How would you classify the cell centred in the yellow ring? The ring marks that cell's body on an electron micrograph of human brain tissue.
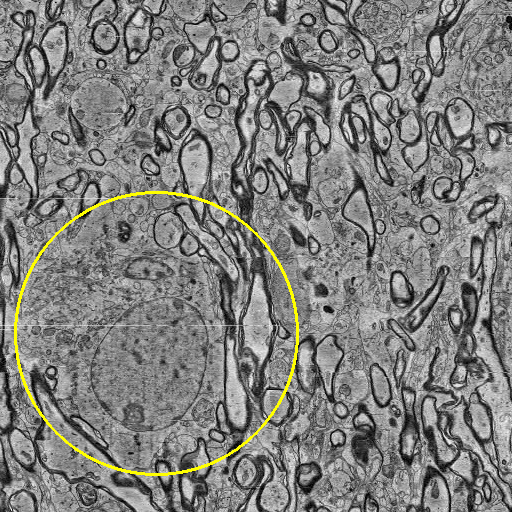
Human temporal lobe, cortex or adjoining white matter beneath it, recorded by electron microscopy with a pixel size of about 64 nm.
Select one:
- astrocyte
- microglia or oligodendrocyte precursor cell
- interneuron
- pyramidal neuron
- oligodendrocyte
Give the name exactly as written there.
astrocyte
